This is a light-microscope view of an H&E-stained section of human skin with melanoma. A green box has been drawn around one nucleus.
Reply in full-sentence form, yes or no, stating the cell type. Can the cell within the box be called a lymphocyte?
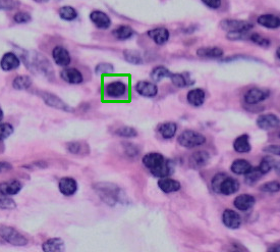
No, rather than being a lymphocyte, the cell within the box is a plasma cell.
